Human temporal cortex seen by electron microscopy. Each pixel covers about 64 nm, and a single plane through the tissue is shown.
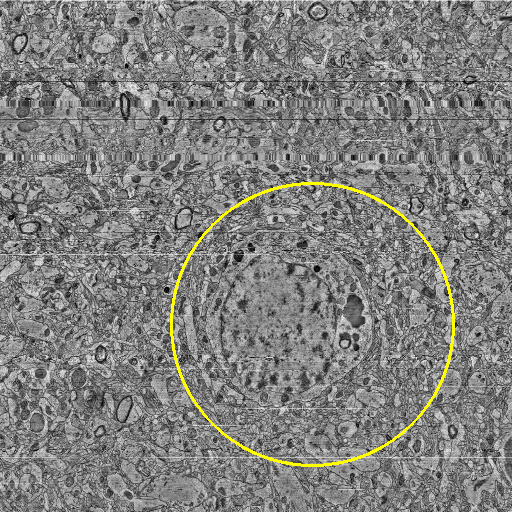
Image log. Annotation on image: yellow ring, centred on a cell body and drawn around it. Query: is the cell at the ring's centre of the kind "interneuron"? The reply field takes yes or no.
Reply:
yes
